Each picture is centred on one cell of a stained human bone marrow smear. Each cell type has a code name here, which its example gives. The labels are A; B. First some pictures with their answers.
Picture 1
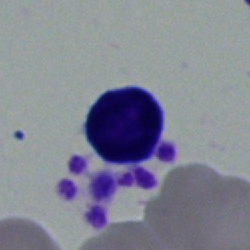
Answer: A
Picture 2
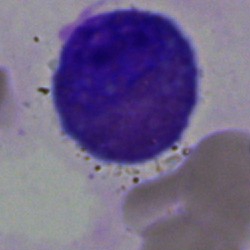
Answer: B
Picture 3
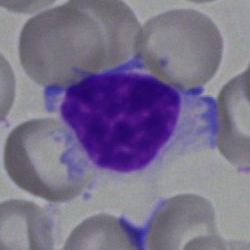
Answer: A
